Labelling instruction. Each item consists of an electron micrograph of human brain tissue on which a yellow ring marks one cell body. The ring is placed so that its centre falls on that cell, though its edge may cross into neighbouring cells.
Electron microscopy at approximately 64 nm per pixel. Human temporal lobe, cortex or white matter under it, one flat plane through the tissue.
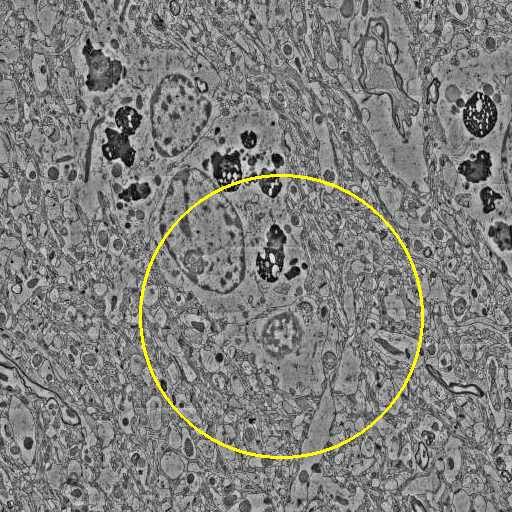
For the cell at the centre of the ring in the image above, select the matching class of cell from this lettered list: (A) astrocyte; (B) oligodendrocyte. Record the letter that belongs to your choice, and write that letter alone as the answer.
A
